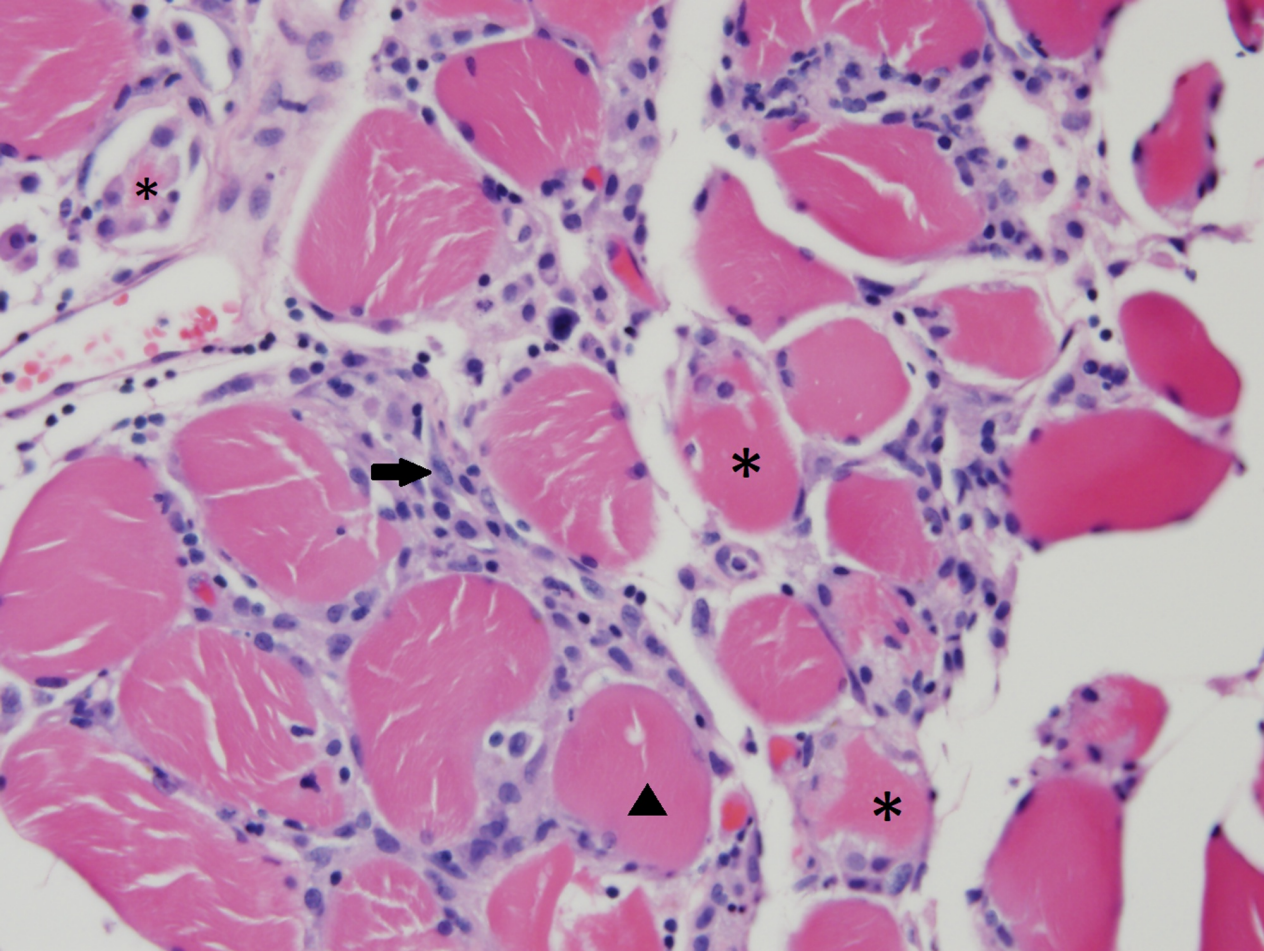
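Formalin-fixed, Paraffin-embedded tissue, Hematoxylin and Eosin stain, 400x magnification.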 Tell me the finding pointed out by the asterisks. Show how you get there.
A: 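Fibers under the asterisks are paler and more granular pink than their neighbours. Small mononuclear cells lie within or crowd into the outlines of these fibers.
Hence: necrotic fibers undergoing myophagocytosis.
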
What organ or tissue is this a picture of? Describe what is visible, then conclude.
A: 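Skeletal muscle. Large polygonal eosinophilic fibers in cross-section. Flattened nuclei sit at the edges of the fibers.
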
